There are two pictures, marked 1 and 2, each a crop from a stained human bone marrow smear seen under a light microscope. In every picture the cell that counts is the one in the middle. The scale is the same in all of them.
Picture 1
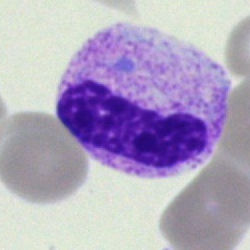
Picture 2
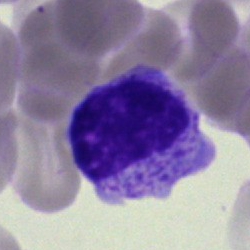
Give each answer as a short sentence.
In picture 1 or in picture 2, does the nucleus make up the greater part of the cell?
Of the two, the nucleus in picture 2 makes up the greater part of its cell.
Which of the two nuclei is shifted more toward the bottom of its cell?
In picture 1 the nucleus is shifted more toward the bottom.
